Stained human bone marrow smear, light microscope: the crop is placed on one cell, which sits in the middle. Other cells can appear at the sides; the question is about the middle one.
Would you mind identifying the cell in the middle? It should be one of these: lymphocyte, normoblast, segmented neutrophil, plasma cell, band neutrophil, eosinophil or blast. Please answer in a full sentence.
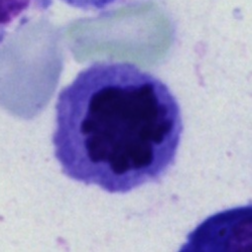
In the center of this field lies a normoblast.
